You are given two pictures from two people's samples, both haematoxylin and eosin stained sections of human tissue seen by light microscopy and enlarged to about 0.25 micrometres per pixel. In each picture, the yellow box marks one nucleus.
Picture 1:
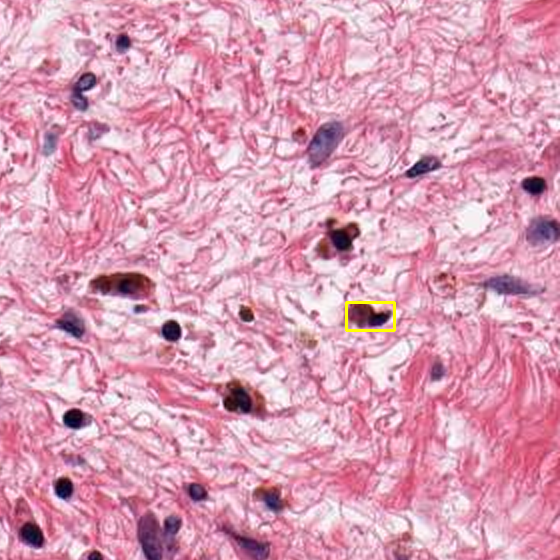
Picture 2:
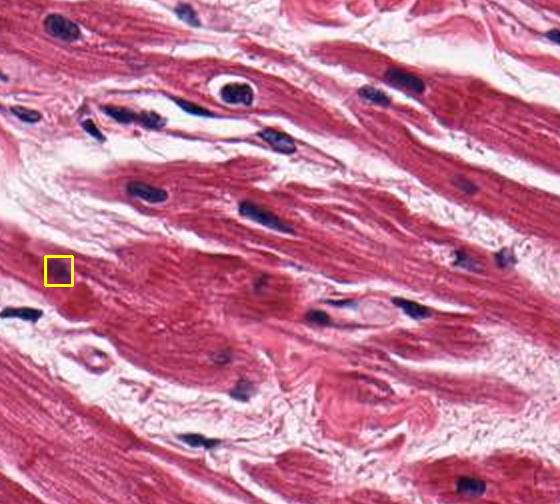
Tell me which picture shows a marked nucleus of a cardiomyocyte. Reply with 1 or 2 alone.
2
